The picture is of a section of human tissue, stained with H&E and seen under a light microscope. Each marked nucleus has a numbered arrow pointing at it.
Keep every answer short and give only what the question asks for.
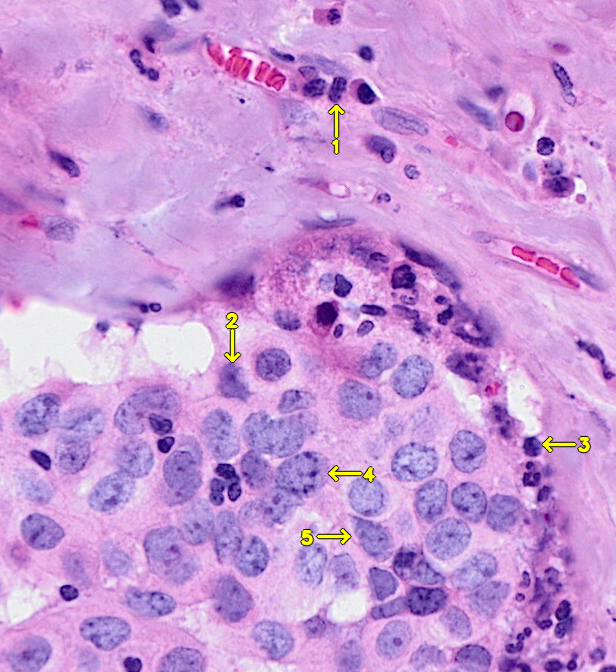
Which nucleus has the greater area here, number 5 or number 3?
5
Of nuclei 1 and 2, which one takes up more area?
2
